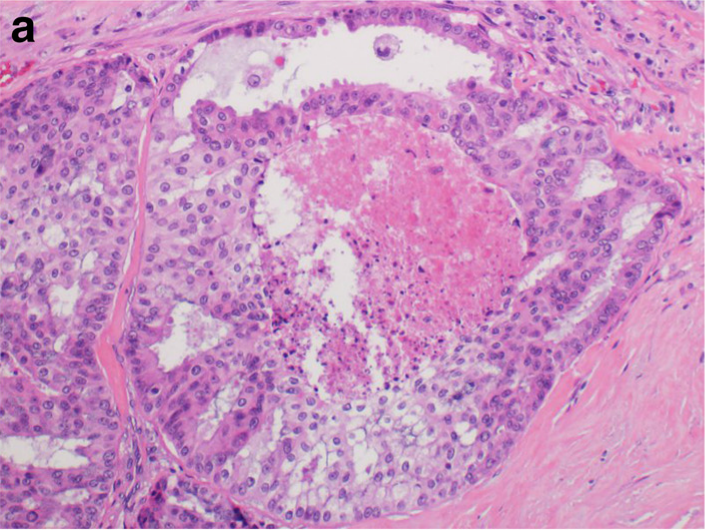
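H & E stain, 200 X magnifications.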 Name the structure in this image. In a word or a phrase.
Cribriform growth pattern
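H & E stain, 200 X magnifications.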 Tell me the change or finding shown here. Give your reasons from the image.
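Central comedo necrosis. Scattered dark nuclear fragments lie within the debris. Viable tumour cells ring the debris at the periphery of the nest.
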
